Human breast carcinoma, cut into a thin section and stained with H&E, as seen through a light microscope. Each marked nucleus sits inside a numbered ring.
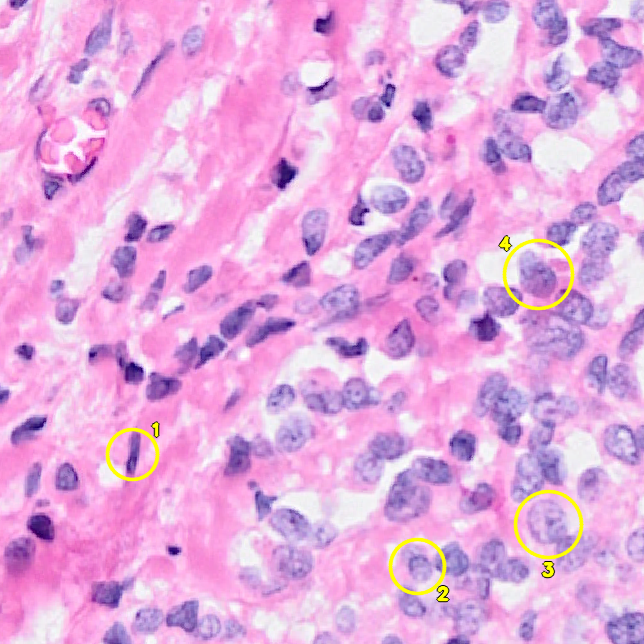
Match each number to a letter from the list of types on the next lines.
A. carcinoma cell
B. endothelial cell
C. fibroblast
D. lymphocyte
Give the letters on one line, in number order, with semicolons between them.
C; A; A; A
